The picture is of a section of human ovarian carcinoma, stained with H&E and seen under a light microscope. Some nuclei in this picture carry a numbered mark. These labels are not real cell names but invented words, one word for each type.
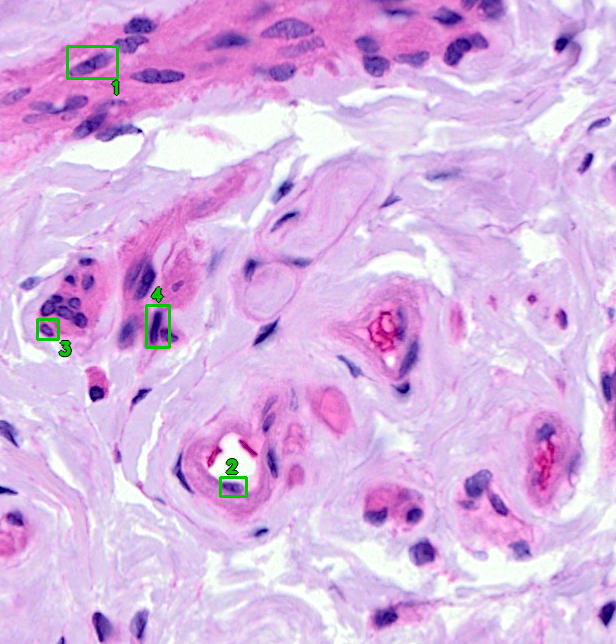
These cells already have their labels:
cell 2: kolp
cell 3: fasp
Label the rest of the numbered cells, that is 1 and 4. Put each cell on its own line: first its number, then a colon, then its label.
1: fasp
4: fasp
